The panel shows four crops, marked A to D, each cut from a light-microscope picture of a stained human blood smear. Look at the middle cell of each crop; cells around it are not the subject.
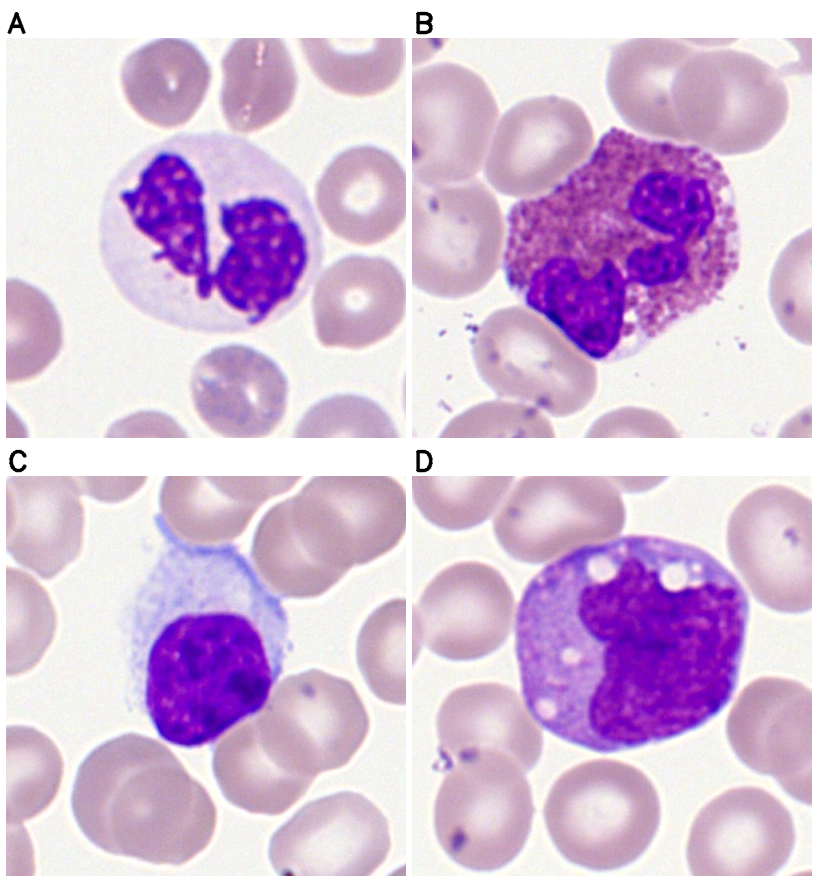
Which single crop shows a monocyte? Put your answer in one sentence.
Of the cells presented, the one in crop D is a monocyte.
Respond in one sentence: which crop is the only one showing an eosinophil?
Of all the crops, crop B is the one showing an eosinophil.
